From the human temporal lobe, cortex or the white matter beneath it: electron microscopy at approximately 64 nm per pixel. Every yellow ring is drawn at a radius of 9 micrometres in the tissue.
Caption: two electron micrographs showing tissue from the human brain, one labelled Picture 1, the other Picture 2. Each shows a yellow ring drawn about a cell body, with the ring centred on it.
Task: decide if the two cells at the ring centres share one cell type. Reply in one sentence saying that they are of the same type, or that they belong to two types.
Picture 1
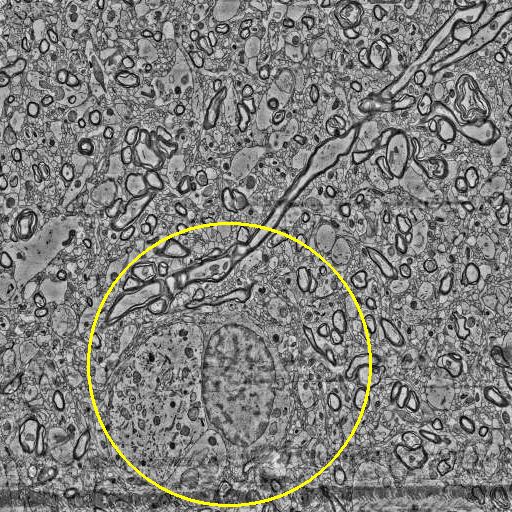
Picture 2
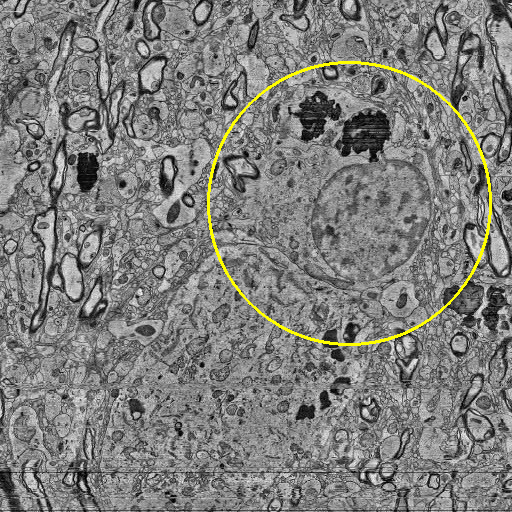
The cells at the ring centres in Picture 1 and Picture 2 are of the same type.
